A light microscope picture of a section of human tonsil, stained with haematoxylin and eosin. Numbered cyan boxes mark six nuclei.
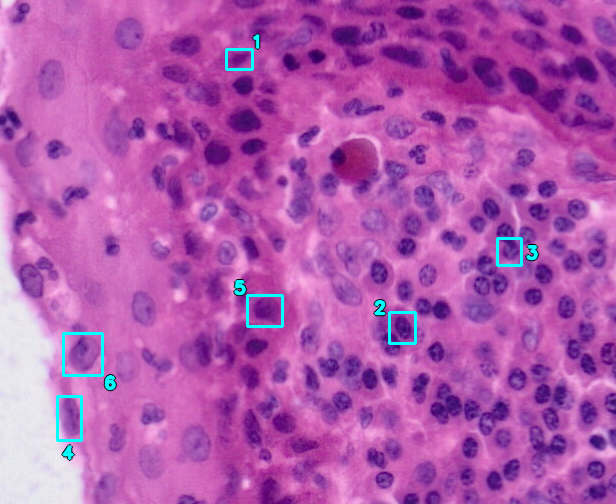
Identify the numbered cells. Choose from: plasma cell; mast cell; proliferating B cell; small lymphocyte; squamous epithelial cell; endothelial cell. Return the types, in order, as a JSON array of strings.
["squamous epithelial cell", "plasma cell", "plasma cell", "squamous epithelial cell", "squamous epithelial cell", "squamous epithelial cell"]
